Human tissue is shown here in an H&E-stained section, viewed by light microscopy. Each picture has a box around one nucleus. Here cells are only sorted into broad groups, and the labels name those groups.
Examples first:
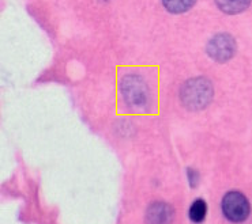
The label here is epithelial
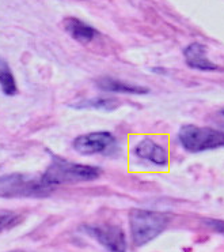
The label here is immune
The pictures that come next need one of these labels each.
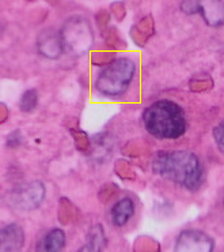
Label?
immune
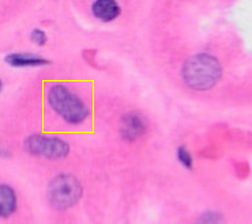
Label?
epithelial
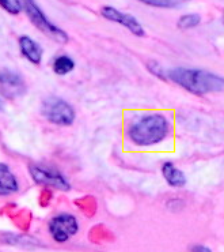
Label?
immune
